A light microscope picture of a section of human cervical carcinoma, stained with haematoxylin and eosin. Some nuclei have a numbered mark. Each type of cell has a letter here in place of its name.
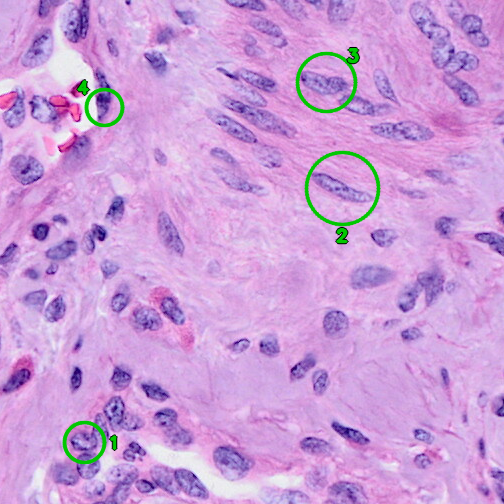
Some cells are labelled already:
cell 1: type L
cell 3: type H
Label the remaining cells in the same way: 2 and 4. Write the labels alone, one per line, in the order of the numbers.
type H
type L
